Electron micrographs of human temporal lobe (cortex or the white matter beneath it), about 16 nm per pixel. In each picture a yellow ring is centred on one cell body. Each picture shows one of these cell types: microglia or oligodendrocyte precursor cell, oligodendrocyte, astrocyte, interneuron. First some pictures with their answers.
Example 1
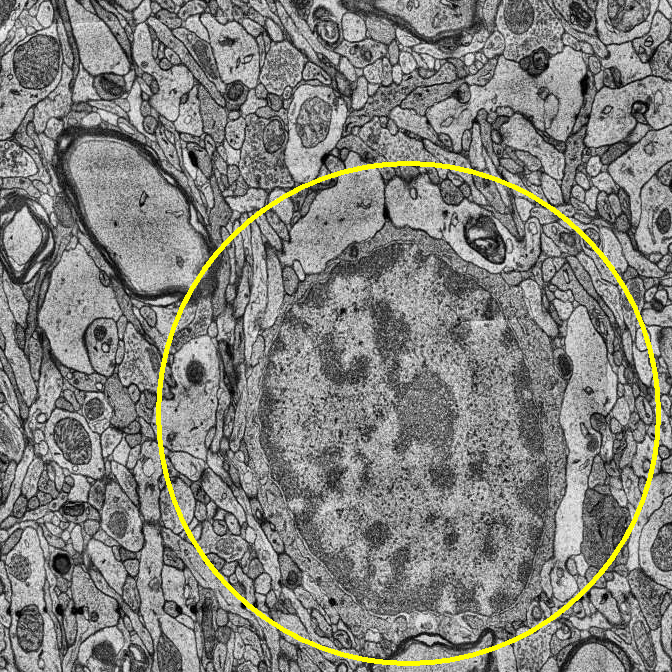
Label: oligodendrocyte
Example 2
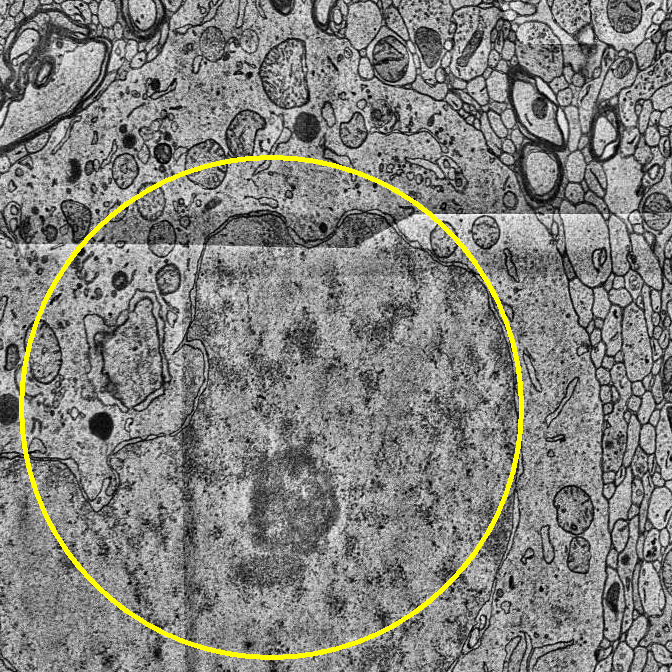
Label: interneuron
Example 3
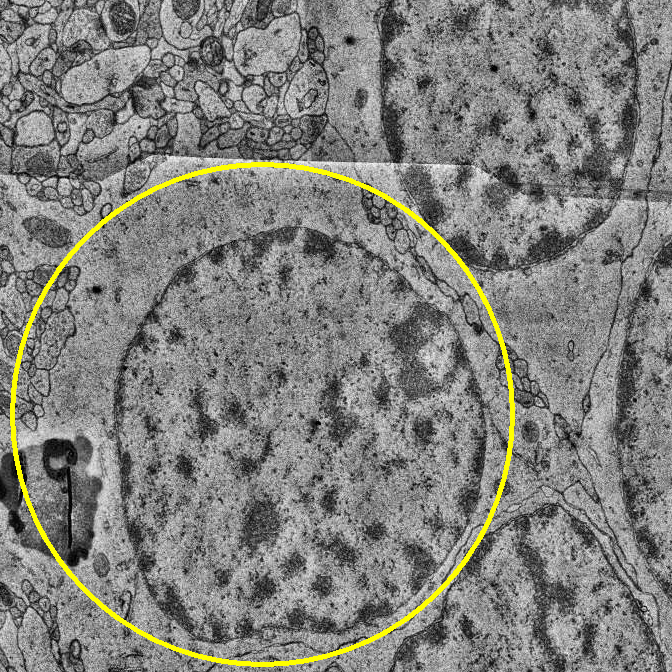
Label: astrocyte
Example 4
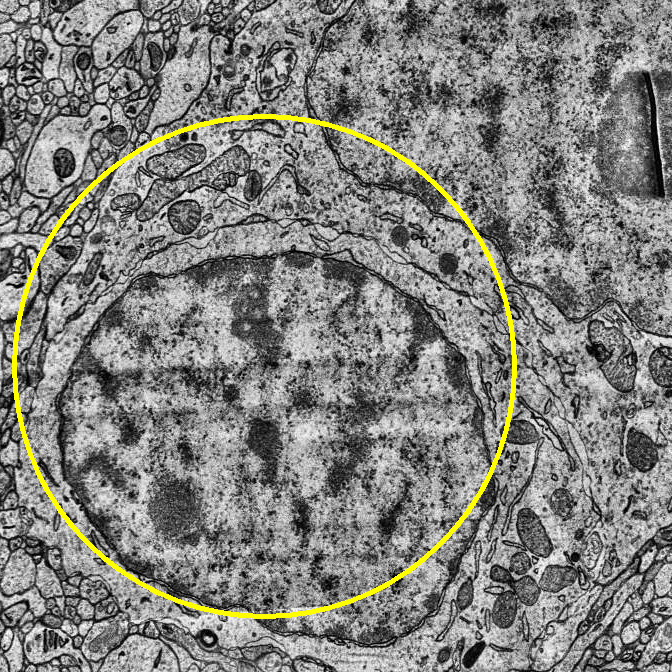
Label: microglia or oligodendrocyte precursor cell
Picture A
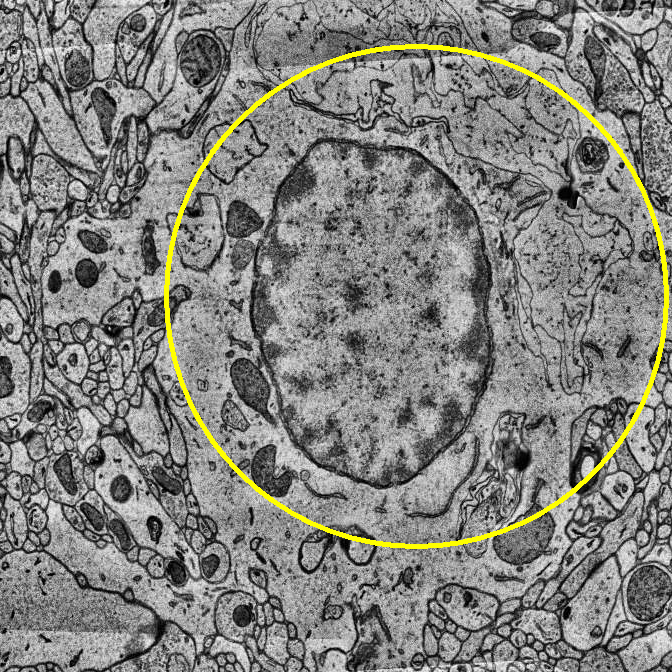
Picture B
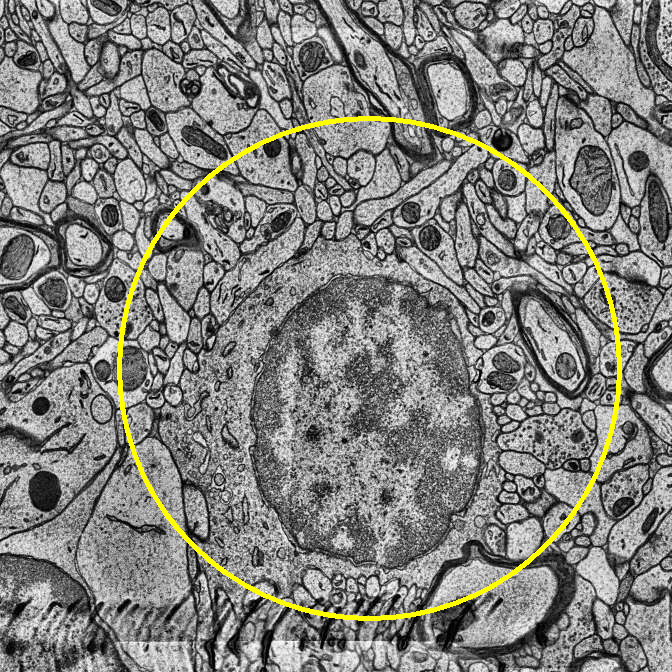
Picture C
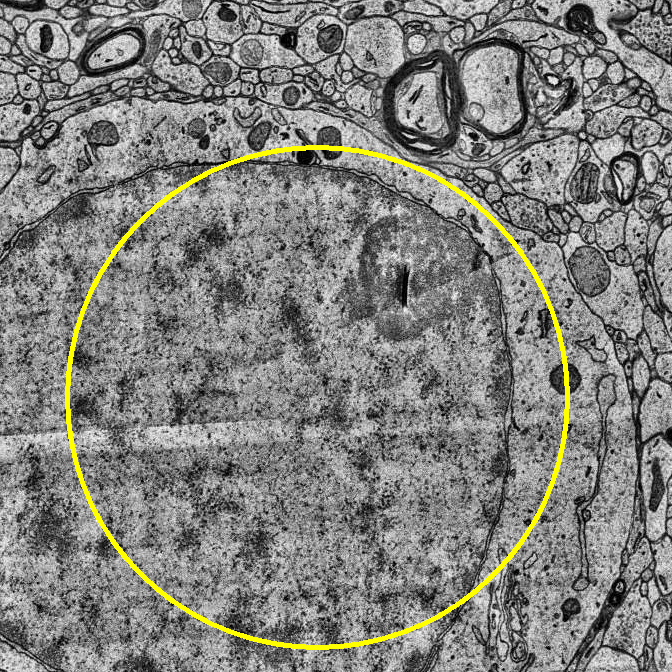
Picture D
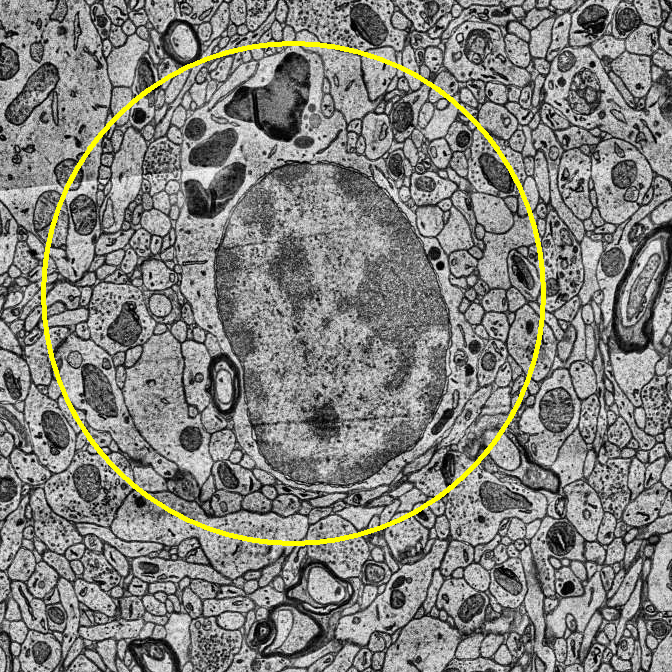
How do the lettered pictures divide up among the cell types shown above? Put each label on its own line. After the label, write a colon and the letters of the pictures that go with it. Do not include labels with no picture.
microglia or oligodendrocyte precursor cell: D
oligodendrocyte: B
astrocyte: A
interneuron: C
